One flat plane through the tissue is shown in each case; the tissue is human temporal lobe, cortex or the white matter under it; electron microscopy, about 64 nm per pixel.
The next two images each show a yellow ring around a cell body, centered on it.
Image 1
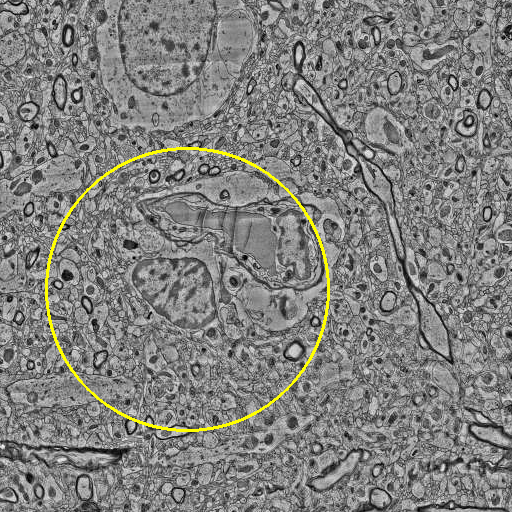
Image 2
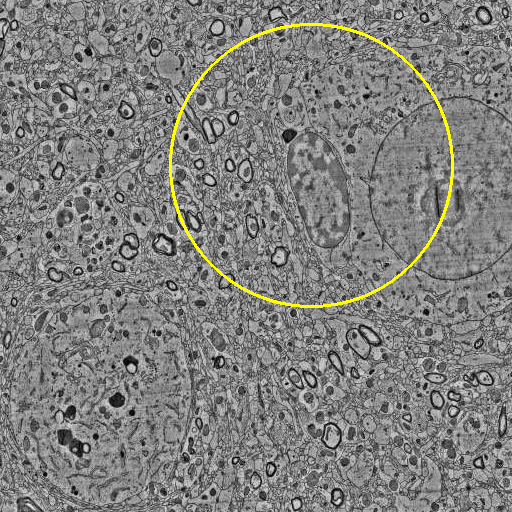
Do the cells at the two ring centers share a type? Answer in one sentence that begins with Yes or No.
Yes, across the two images the cells at the ring centers share one type.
